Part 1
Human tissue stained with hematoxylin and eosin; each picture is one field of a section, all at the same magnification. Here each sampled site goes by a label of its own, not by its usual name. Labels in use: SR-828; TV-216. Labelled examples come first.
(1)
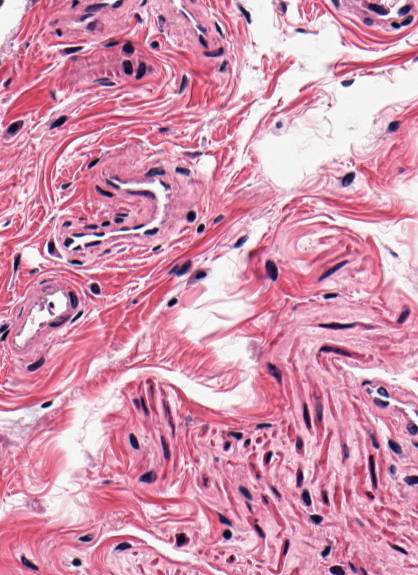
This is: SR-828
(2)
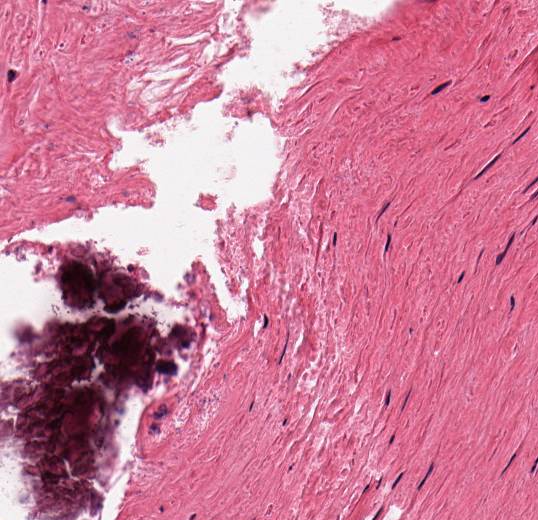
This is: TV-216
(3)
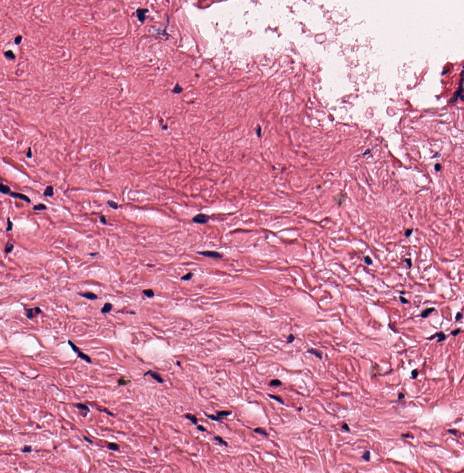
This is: TV-216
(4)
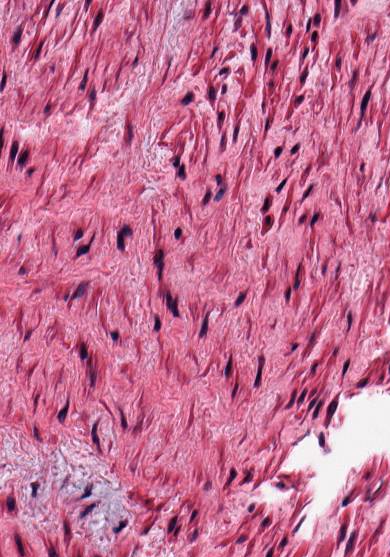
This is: TV-216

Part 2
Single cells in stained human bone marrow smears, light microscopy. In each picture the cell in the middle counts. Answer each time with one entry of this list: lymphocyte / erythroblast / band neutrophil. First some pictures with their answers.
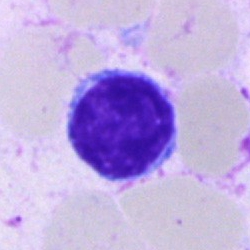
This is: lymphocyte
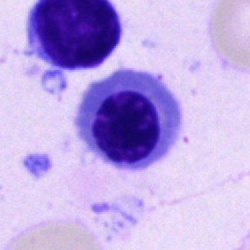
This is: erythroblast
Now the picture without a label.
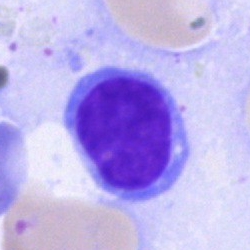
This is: lymphocyte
